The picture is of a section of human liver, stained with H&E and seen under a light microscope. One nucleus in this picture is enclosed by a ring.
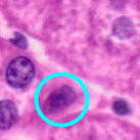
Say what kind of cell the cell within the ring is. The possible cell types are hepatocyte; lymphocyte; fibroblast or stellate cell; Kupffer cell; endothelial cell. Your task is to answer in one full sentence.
Just put down that the cell within the ring is a Kupffer cell.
